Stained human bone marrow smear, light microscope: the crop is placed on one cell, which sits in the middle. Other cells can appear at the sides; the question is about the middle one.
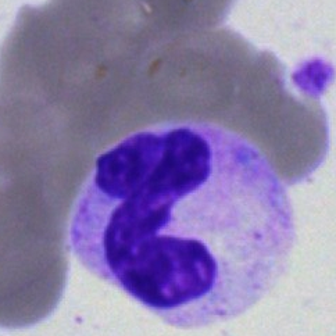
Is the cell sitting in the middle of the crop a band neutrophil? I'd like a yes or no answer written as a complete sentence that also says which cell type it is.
No, not a band neutrophil but a segmented neutrophil is the cell in the centre.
